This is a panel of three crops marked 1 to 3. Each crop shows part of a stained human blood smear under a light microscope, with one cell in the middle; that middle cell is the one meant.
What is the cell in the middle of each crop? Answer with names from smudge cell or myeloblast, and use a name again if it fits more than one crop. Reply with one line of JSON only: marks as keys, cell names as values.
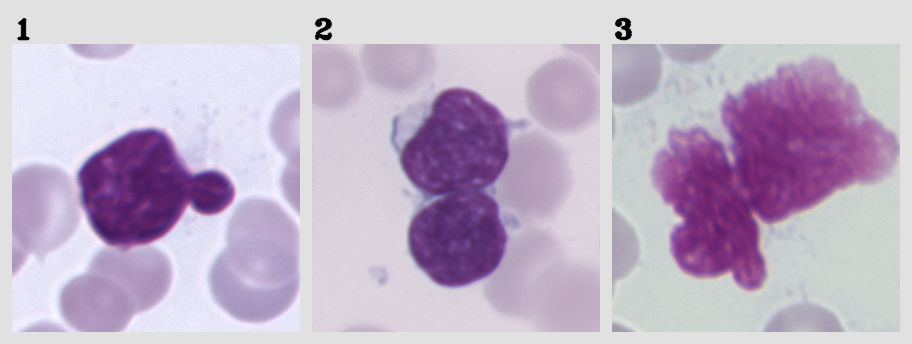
{"1": "smudge cell", "2": "myeloblast", "3": "smudge cell"}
